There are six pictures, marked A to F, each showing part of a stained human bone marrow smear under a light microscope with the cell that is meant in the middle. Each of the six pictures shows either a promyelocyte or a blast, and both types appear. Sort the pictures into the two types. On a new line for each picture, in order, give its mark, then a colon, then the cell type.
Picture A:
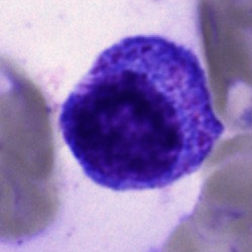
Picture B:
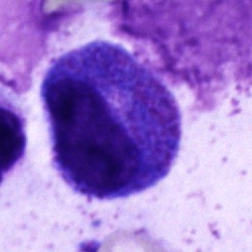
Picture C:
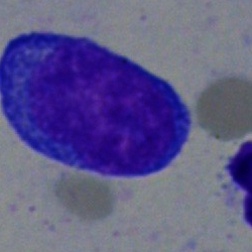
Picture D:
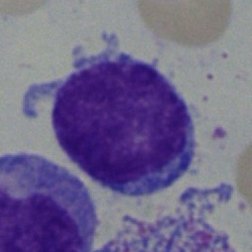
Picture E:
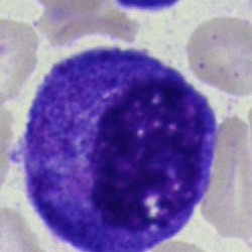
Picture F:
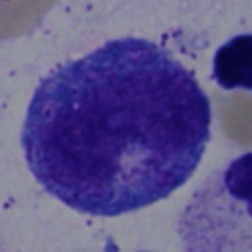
A: promyelocyte
B: promyelocyte
C: blast
D: blast
E: promyelocyte
F: promyelocyte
